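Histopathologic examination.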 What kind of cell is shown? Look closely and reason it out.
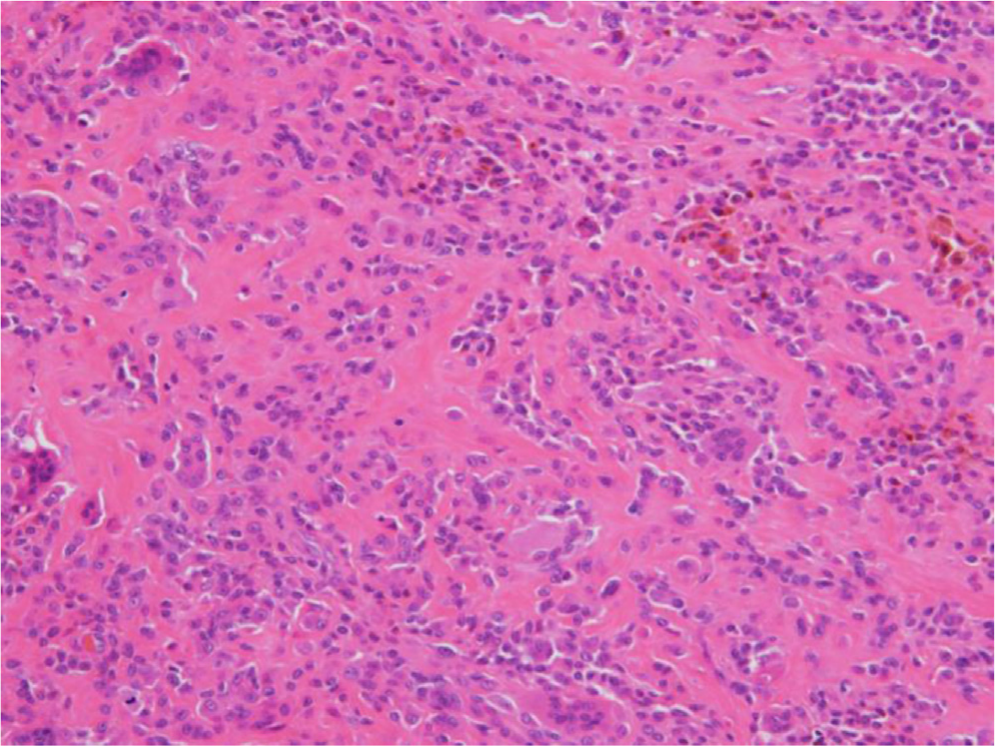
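Near the top left and at the left edge there are large cells with abundant pink cytoplasm. These large cells hold many clustered dark nuclei.
Conclusion: multinucleated giant cells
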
